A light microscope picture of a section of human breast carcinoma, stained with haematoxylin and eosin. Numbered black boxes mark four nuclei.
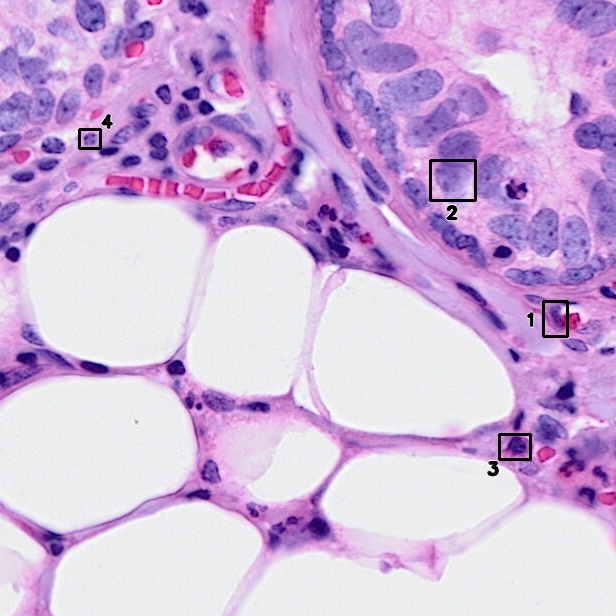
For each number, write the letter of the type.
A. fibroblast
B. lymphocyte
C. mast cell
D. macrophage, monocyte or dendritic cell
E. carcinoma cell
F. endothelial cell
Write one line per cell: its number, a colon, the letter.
1: F
2: E
3: C
4: C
